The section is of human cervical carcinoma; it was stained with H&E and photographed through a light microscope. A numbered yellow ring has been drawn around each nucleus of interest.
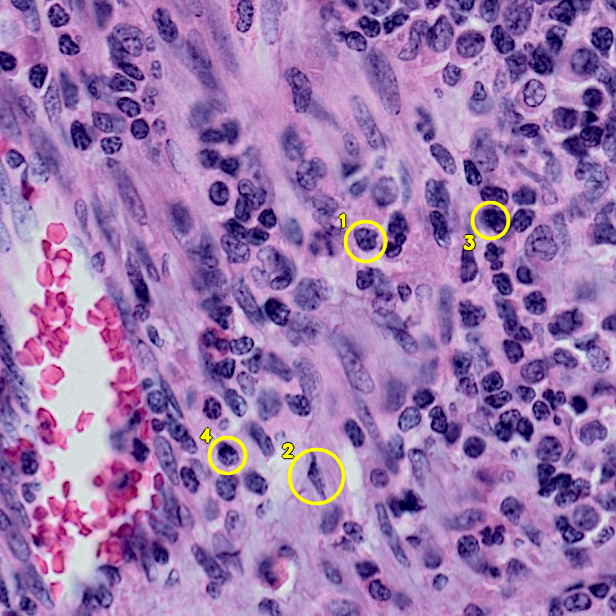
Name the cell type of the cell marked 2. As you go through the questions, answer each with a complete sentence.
The cell given label 2 is a fibroblast.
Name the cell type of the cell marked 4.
Denoted by the label 4 in the section is a lymphocyte.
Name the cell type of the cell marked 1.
To a lymphocyte belongs the nucleus marked 1.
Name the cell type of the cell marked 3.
The cell marked with the number 3 is a lymphocyte.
